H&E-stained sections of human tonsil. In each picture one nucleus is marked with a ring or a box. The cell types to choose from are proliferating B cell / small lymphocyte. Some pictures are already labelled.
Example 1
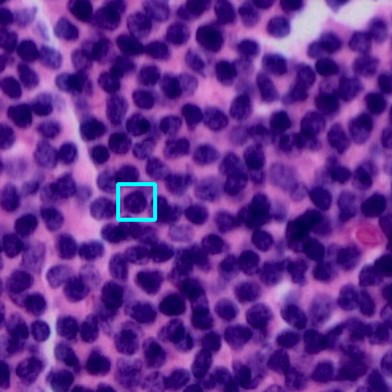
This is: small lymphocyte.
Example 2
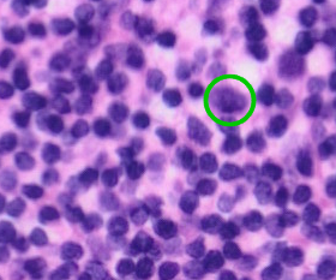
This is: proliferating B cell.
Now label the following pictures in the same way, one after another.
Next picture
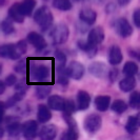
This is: small lymphocyte.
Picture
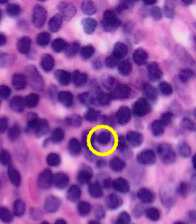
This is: small lymphocyte.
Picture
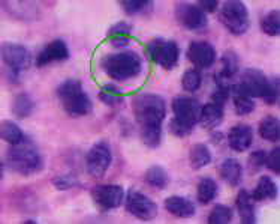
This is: proliferating B cell.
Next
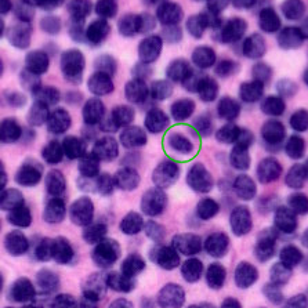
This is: small lymphocyte.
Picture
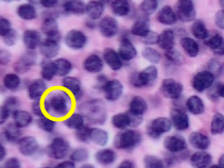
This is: small lymphocyte.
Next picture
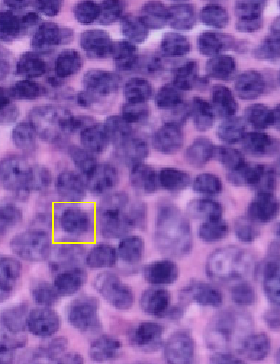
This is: proliferating B cell.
